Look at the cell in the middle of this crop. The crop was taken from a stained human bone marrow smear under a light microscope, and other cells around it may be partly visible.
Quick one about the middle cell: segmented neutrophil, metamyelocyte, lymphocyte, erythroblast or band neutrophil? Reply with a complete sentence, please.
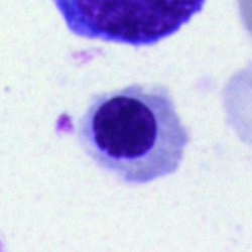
As for the central cell, it is an erythroblast.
